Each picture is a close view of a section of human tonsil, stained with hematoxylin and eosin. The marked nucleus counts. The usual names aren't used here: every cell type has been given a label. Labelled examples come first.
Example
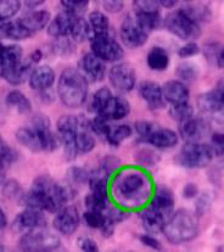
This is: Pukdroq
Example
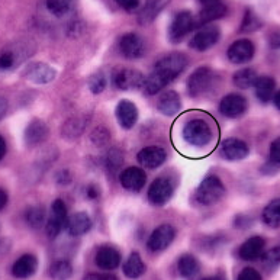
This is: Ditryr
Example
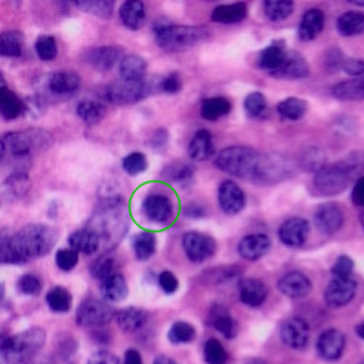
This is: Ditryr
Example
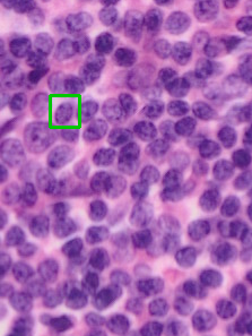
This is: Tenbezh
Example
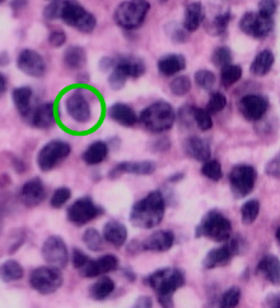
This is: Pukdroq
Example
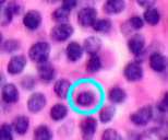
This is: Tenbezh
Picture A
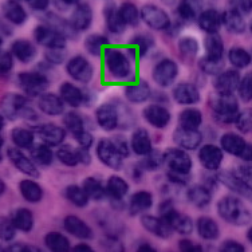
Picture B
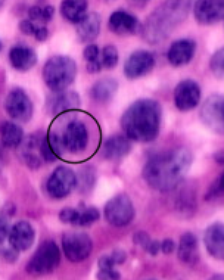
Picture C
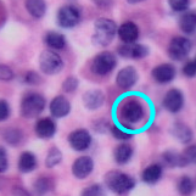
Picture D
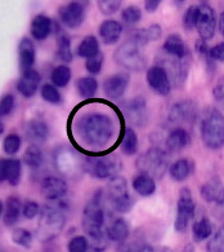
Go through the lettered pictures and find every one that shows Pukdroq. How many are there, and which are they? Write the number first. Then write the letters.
Count: 1 (D)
